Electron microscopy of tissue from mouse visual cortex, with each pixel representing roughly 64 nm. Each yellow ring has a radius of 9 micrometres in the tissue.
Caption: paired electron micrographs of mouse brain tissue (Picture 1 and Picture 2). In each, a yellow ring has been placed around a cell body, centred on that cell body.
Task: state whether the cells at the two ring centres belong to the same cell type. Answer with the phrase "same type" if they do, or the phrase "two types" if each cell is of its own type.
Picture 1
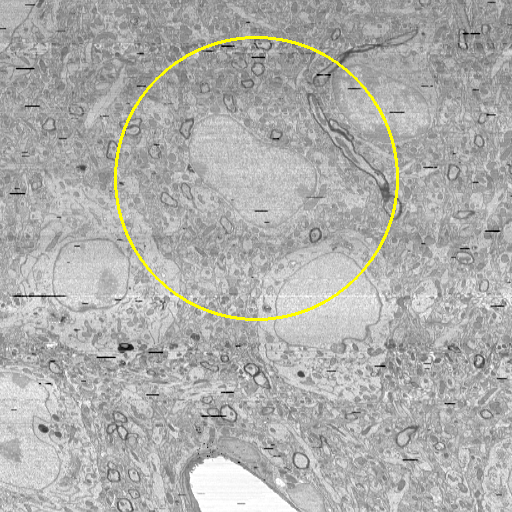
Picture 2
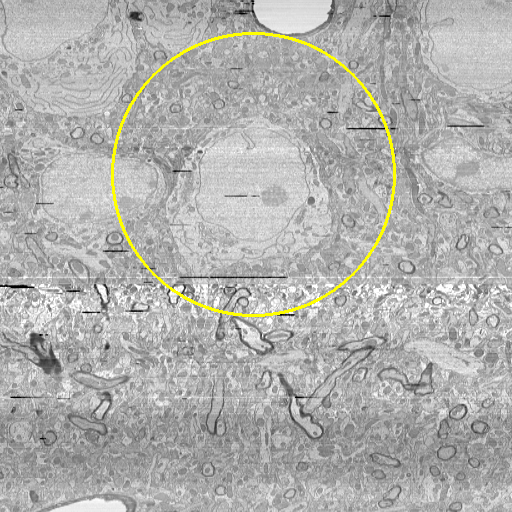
two types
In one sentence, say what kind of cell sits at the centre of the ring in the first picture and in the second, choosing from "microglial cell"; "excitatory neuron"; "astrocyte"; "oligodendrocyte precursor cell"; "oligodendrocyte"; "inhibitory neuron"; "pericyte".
The first picture's ringed cell is an astrocyte, while the second picture's is an excitatory neuron.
